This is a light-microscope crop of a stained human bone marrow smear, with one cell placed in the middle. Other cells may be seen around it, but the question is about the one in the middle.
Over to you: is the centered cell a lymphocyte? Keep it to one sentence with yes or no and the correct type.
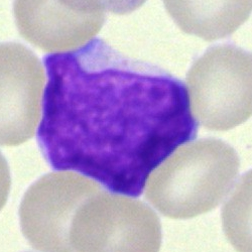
No, the cell at the centre is a blast, which rules out a lymphocyte.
